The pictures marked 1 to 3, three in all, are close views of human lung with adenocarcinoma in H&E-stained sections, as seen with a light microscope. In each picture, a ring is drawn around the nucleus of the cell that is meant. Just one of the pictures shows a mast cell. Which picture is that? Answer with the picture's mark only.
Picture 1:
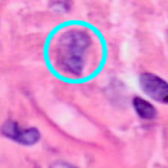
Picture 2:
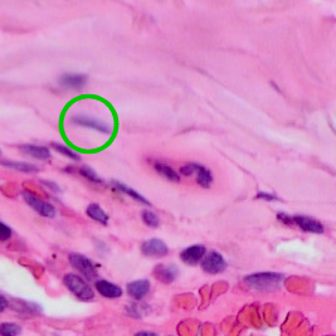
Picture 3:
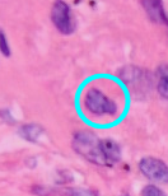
3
